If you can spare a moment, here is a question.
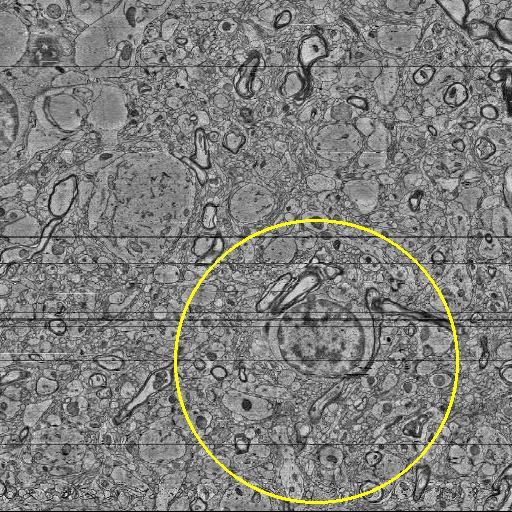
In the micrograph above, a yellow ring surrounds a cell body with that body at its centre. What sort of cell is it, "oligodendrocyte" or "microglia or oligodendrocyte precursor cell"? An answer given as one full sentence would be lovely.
Centred inside the yellow ring, the cell body shown belongs to an oligodendrocyte in this micrograph.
